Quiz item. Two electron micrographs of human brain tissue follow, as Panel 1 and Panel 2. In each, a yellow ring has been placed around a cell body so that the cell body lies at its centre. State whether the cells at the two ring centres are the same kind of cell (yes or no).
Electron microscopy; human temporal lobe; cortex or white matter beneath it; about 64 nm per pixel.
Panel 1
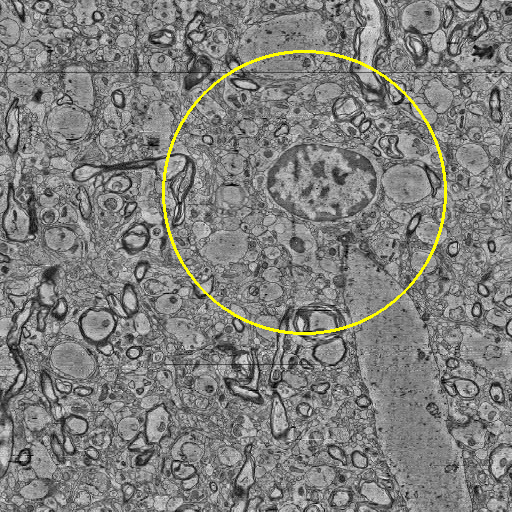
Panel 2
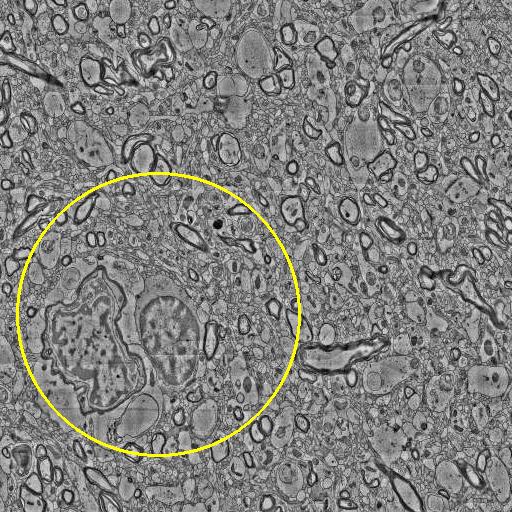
no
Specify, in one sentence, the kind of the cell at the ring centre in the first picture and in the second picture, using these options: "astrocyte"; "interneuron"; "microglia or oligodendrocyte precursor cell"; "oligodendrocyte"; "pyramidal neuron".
So the first is a microglial cell or oligodendrocyte precursor cell, the second an oligodendrocyte.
